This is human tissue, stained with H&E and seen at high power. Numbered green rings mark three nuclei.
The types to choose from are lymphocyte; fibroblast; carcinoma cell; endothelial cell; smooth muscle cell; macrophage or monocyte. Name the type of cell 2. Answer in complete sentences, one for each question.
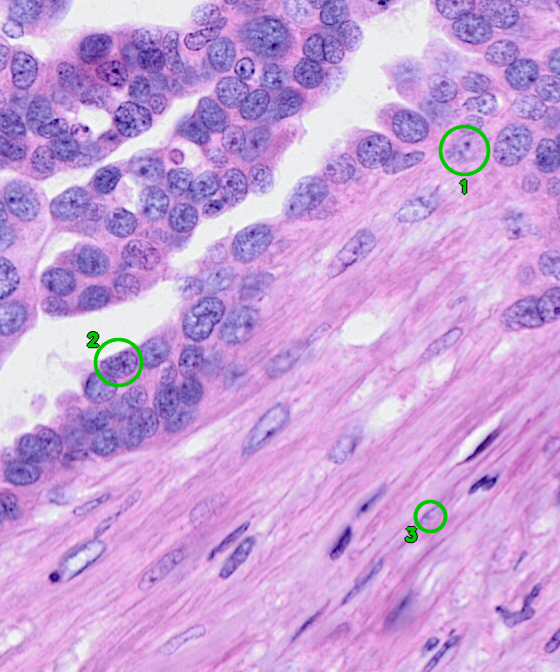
Heads up, the cell numbered 2 is a carcinoma cell.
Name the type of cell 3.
Regarding cell 3, this one is a fibroblast.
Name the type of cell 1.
Belonging to a fibroblast is the nucleus that carries the number 1.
